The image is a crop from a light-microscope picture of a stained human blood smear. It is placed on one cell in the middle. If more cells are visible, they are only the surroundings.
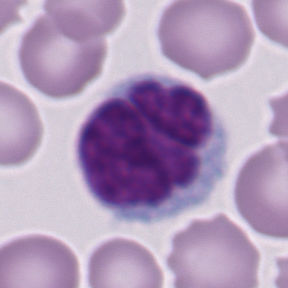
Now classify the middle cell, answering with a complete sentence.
The centrally positioned cell in the crop represents a hairy cell.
